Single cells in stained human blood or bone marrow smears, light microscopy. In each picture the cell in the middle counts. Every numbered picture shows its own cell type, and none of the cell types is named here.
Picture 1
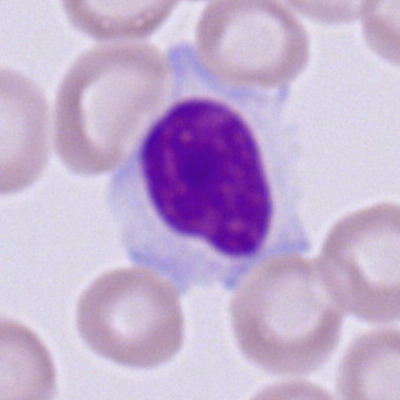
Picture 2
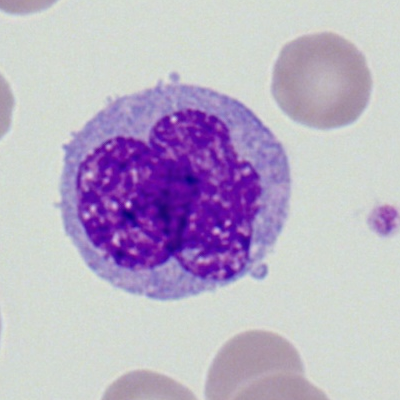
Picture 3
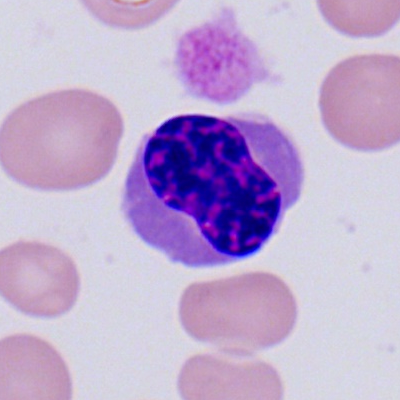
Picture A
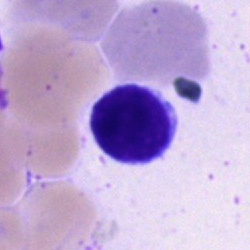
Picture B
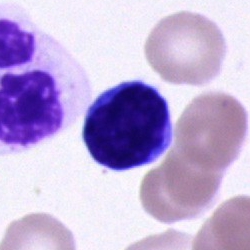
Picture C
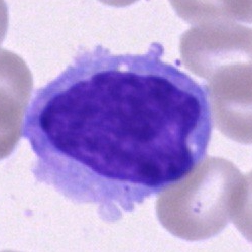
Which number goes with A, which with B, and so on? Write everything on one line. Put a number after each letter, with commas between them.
A 1, B 1, C 2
